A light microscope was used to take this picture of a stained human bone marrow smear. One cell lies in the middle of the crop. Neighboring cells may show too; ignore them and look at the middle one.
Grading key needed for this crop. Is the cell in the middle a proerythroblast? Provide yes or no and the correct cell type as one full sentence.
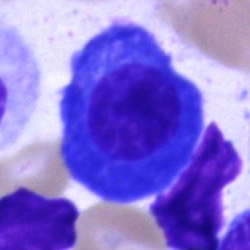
No, the central cell is classed as a plasma cell, not a proerythroblast.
